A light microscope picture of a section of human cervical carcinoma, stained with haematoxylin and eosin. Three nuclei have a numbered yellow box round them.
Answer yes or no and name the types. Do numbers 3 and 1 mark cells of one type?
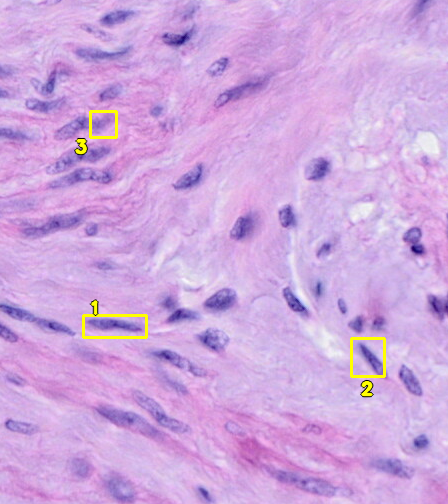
No, cell 3 is a smooth muscle cell and cell 1 is a fibroblast.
